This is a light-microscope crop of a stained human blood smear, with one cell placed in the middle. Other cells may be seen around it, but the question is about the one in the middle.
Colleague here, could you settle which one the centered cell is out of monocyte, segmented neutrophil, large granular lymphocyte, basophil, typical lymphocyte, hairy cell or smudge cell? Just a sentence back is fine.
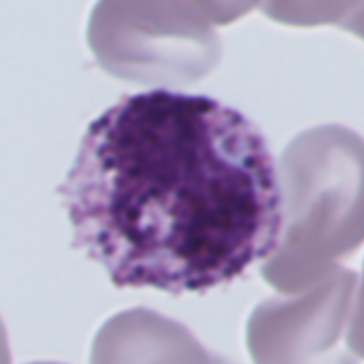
The middle of this crop holds a basophil.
